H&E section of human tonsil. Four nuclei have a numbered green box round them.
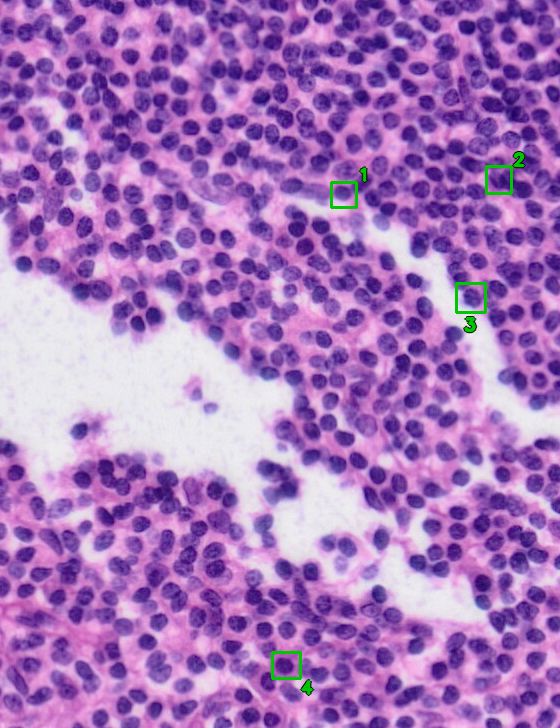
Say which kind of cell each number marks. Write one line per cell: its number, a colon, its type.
1: small lymphocyte
2: small lymphocyte
3: small lymphocyte
4: plasma cell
